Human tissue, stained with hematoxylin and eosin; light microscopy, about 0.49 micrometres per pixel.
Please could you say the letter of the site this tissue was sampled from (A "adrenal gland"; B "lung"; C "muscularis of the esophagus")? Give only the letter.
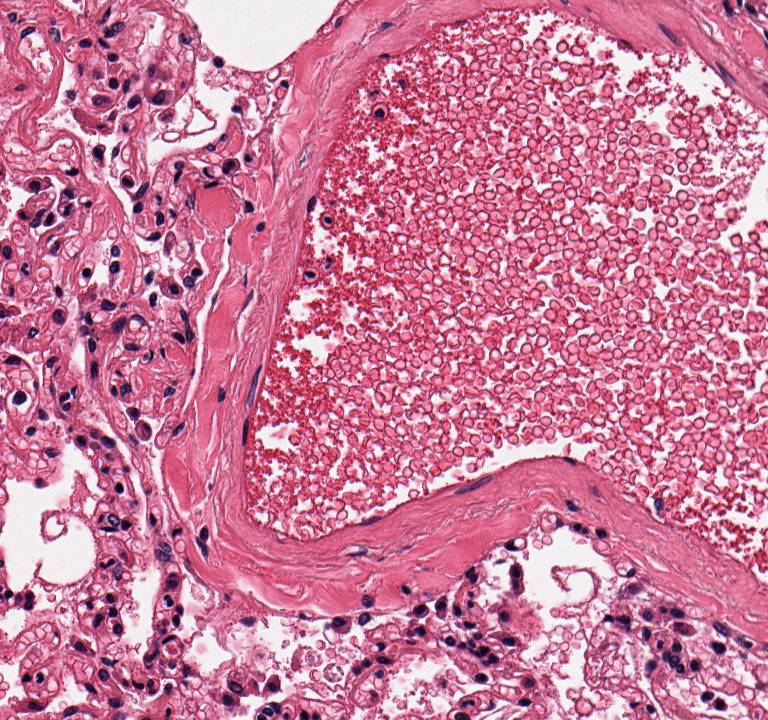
B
